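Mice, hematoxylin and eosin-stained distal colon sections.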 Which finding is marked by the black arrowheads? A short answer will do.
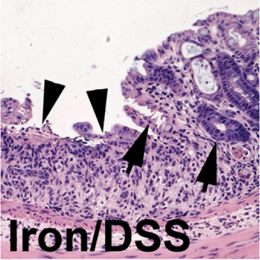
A: mucosal erosion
